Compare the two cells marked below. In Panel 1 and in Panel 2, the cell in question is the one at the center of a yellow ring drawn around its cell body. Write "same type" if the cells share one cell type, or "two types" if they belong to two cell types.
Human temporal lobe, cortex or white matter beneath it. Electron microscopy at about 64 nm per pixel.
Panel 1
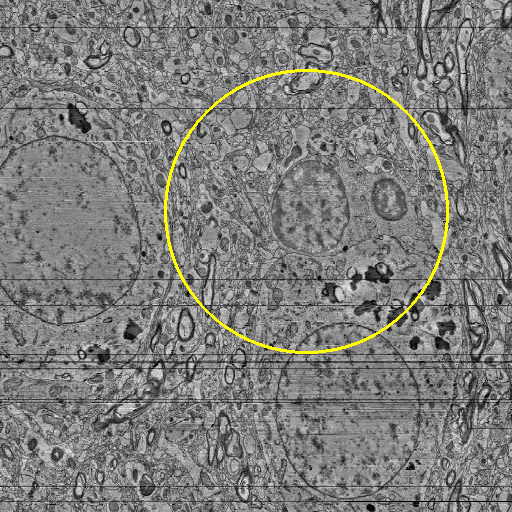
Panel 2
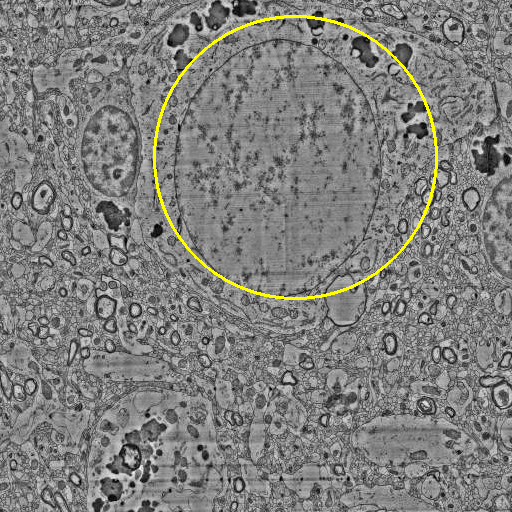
two types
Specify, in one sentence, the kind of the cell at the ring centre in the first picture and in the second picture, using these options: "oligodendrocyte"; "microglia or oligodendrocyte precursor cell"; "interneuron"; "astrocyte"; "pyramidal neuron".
So the first is an oligodendrocyte, the second a pyramidal neuron.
